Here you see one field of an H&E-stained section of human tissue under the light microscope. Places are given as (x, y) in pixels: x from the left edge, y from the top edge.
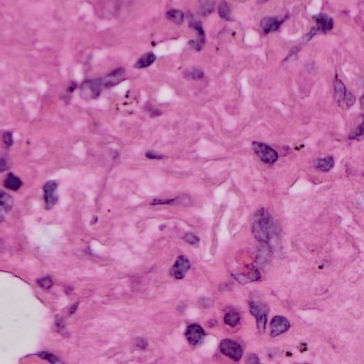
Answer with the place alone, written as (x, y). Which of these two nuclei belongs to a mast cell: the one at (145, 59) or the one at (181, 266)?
(181, 266)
